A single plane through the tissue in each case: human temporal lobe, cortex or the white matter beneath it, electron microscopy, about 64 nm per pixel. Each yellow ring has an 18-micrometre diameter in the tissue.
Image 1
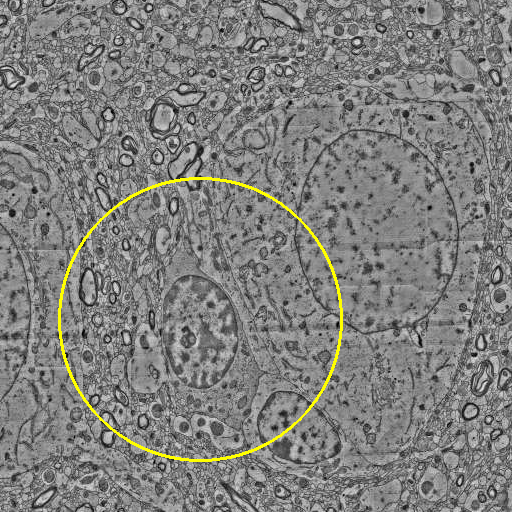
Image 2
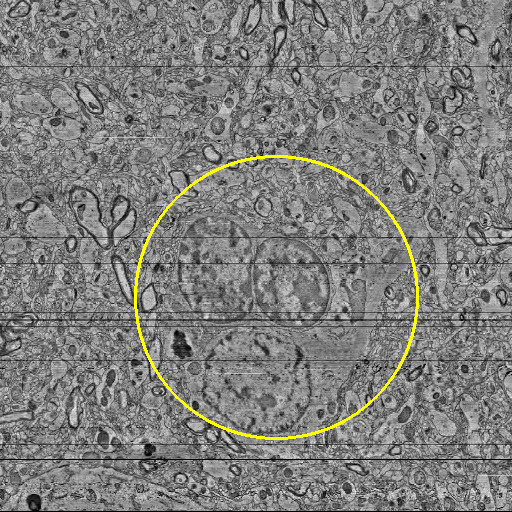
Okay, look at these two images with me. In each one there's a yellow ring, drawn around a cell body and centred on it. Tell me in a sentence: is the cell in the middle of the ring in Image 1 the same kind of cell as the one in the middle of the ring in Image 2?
Yes, they're the same kind of cell.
